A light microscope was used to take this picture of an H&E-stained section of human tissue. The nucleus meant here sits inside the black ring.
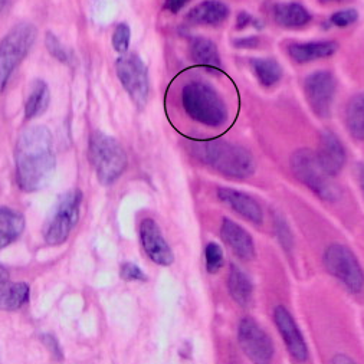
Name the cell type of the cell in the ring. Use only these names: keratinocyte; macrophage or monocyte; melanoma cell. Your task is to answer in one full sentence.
For cell typing purposes, the cell in the ring is a keratinocyte.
